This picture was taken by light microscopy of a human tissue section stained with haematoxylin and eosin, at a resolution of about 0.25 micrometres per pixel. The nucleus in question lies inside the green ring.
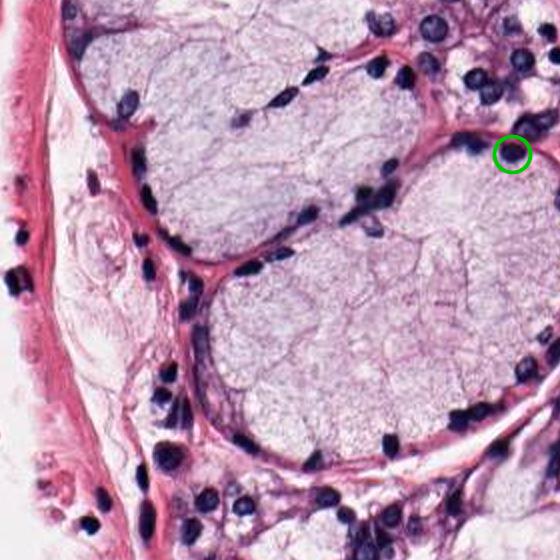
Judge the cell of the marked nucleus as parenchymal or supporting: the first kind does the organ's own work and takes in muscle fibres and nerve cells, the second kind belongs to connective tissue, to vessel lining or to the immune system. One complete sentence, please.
In this picture the marked nucleus belongs to a mucous gland cell, a parenchymal cell.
